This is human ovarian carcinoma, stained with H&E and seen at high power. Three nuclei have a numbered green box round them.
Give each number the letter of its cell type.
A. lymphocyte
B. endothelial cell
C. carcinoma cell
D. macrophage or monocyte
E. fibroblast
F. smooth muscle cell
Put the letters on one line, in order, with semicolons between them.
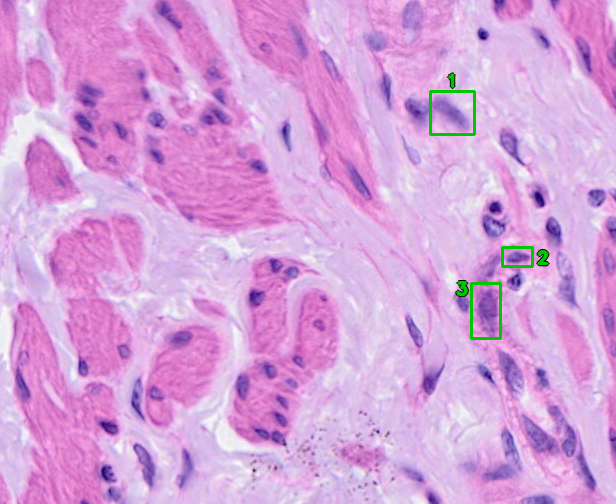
E; B; B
